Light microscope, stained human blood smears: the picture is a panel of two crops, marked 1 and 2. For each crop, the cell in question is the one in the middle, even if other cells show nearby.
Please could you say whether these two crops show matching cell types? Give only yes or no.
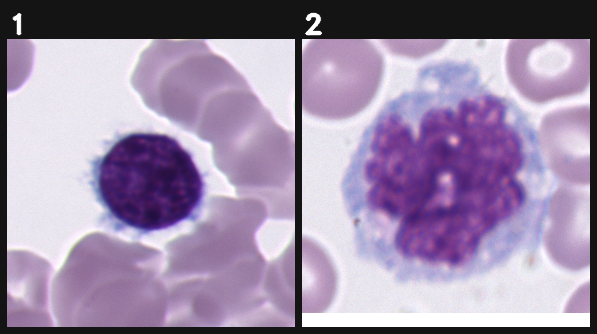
no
